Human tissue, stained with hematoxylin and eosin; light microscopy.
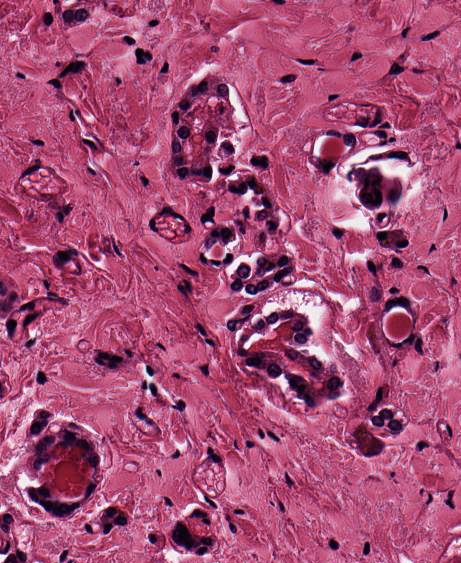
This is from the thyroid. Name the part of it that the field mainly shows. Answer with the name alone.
dense connective tissue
